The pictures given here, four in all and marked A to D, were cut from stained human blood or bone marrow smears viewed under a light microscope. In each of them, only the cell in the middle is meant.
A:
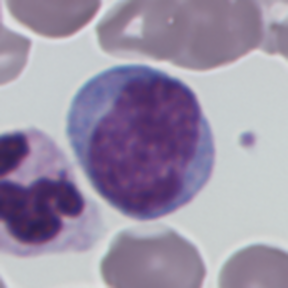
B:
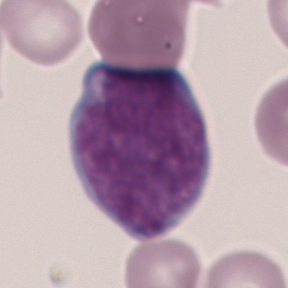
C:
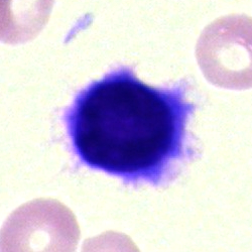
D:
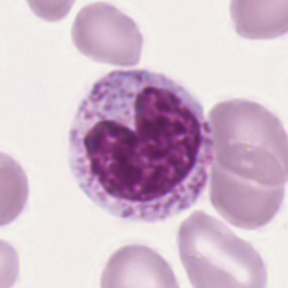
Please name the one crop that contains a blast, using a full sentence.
Crop B, and no other, shows a blast.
